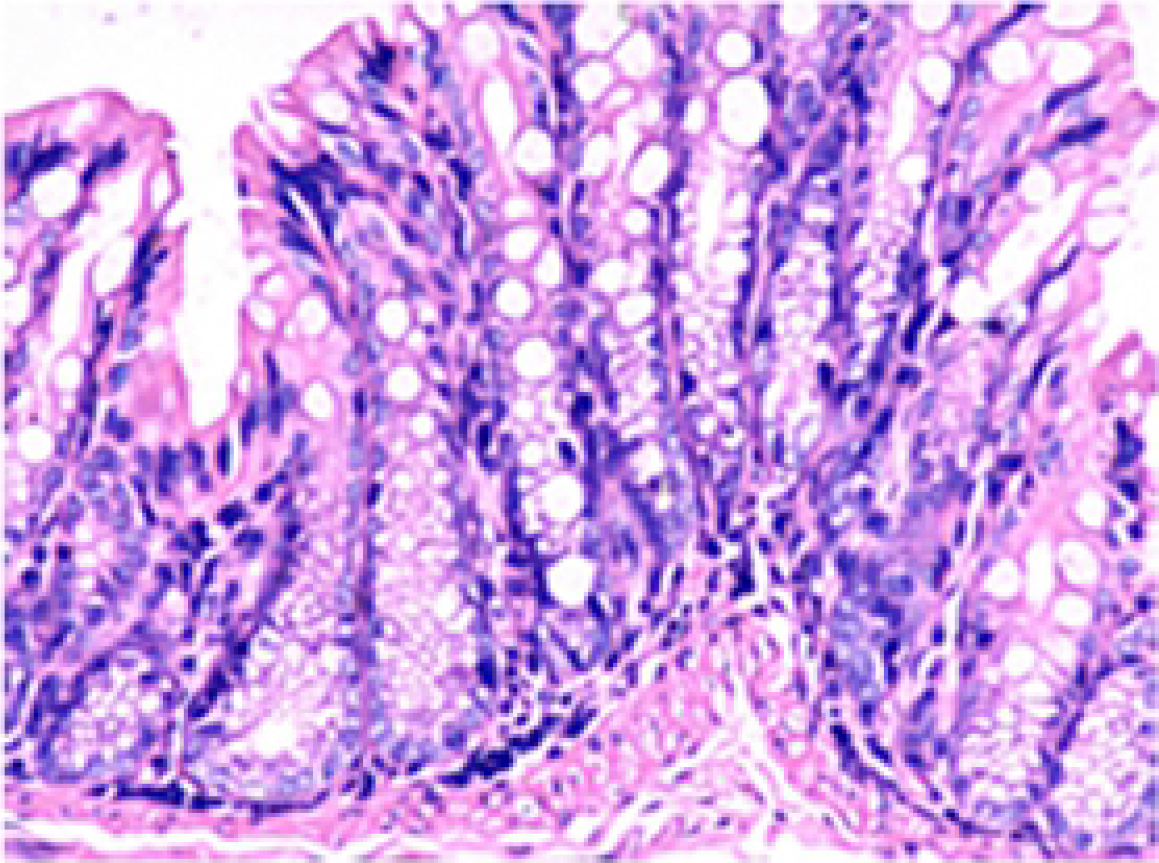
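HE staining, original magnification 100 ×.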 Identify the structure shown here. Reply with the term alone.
Crypts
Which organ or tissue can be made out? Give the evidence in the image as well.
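Colon. Mucosa made of straight glands packed with goblet cells and no villi. A thin pink muscular layer lies beneath the glands.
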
